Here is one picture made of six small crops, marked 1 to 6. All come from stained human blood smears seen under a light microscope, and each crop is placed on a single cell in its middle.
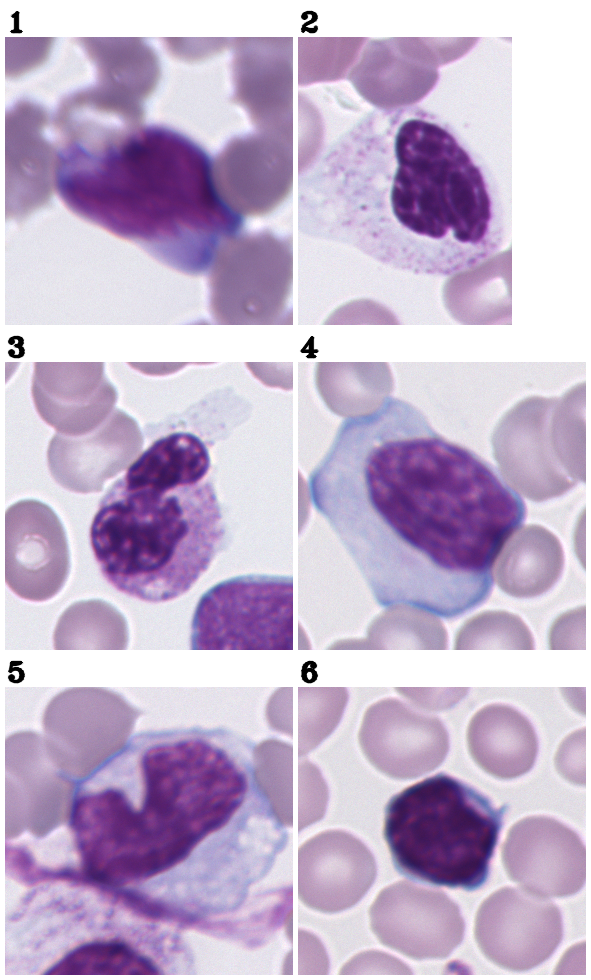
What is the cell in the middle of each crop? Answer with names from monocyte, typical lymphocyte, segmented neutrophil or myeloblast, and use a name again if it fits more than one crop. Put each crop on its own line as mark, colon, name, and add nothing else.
1: myeloblast
2: segmented neutrophil
3: segmented neutrophil
4: myeloblast
5: monocyte
6: typical lymphocyte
